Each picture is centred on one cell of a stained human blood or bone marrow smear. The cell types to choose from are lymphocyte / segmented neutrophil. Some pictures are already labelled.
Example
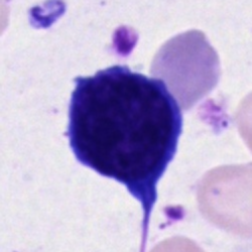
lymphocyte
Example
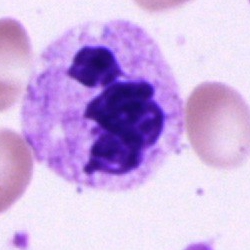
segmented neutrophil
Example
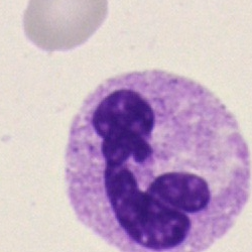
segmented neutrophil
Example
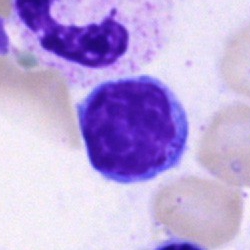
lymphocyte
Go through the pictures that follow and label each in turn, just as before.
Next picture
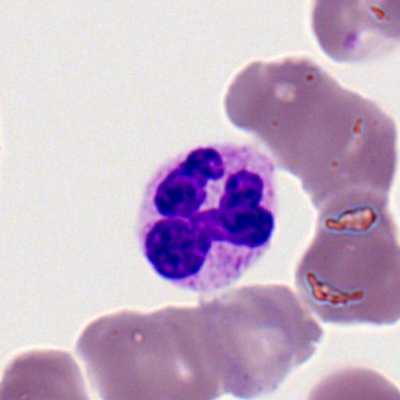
segmented neutrophil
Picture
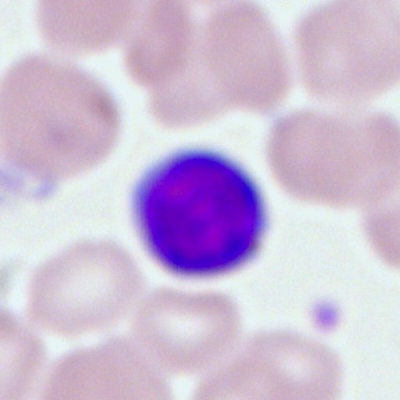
lymphocyte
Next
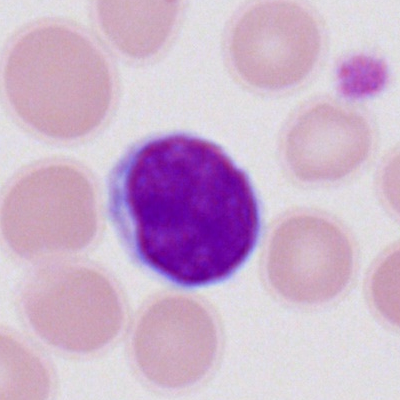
lymphocyte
